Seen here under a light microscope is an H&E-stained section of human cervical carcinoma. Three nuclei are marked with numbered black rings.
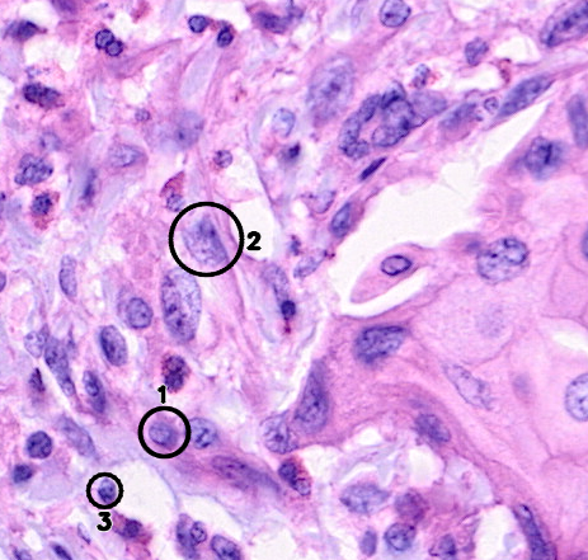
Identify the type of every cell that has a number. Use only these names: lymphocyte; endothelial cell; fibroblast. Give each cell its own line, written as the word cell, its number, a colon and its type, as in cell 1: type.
cell 1: endothelial cell
cell 2: fibroblast
cell 3: lymphocyte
